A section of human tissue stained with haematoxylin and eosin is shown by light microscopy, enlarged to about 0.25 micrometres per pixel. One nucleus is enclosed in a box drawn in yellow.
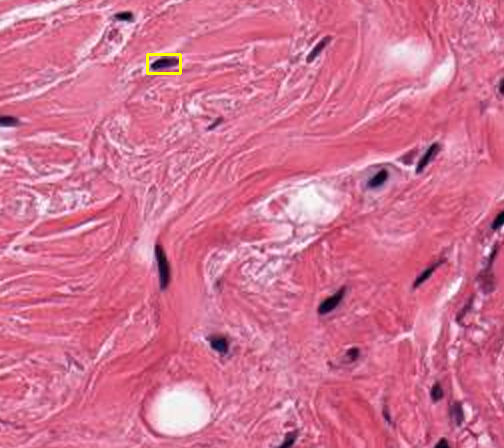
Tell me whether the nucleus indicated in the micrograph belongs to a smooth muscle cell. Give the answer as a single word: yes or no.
no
